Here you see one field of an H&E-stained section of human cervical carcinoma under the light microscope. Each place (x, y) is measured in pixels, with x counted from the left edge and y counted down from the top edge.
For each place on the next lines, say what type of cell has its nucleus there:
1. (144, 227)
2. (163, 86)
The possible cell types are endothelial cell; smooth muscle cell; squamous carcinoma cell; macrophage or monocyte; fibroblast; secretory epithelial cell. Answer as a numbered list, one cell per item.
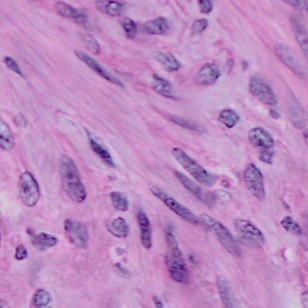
1. fibroblast
2. smooth muscle cell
